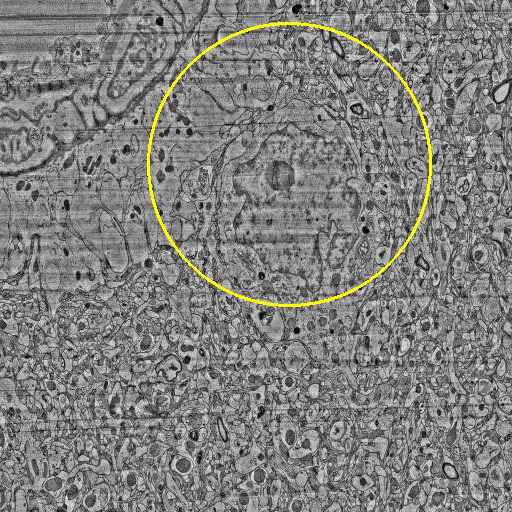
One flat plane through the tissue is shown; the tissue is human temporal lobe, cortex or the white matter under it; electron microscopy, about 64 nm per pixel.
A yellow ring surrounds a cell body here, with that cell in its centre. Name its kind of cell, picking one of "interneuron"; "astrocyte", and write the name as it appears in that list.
interneuron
